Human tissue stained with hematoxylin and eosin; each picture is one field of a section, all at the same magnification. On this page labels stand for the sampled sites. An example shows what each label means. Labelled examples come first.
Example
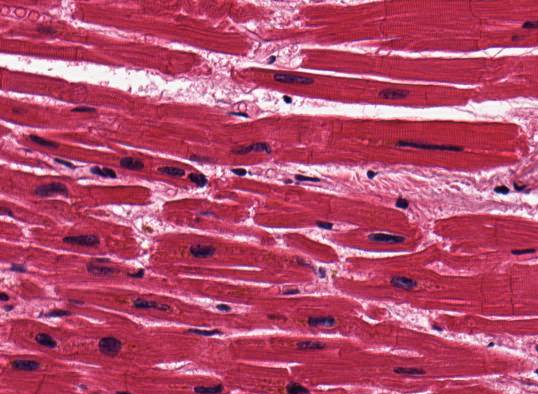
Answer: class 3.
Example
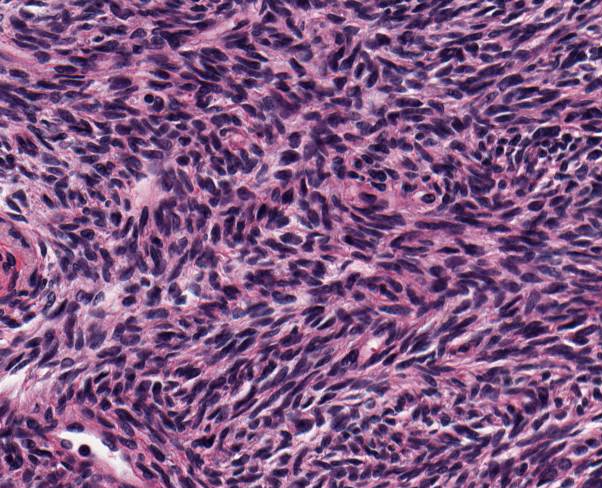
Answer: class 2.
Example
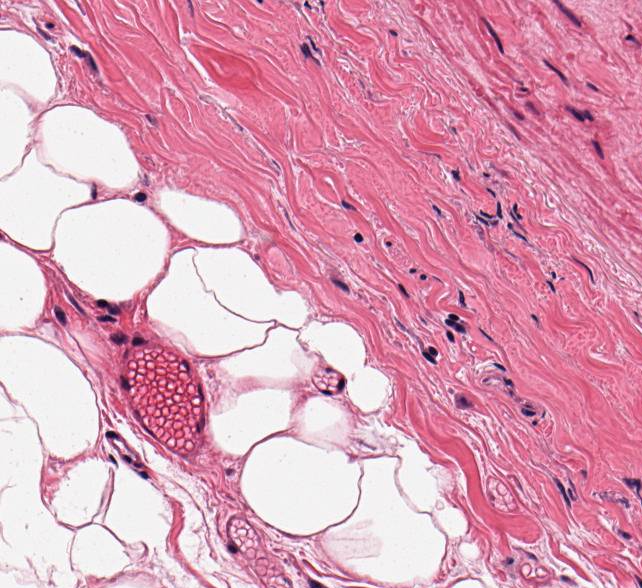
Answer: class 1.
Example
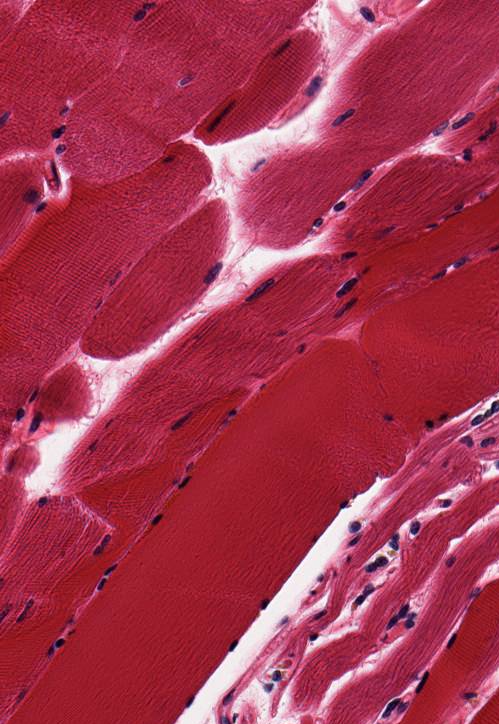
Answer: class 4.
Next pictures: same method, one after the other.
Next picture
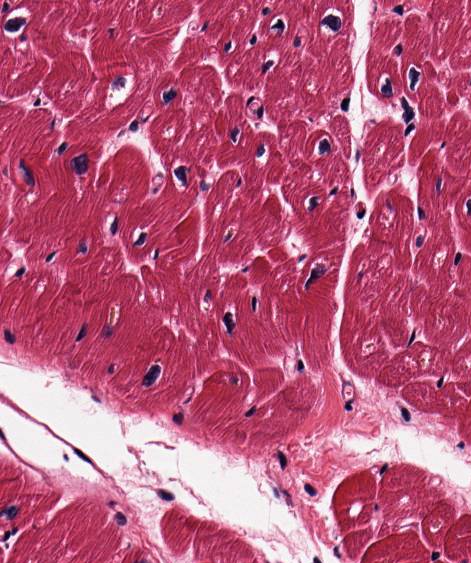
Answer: class 3.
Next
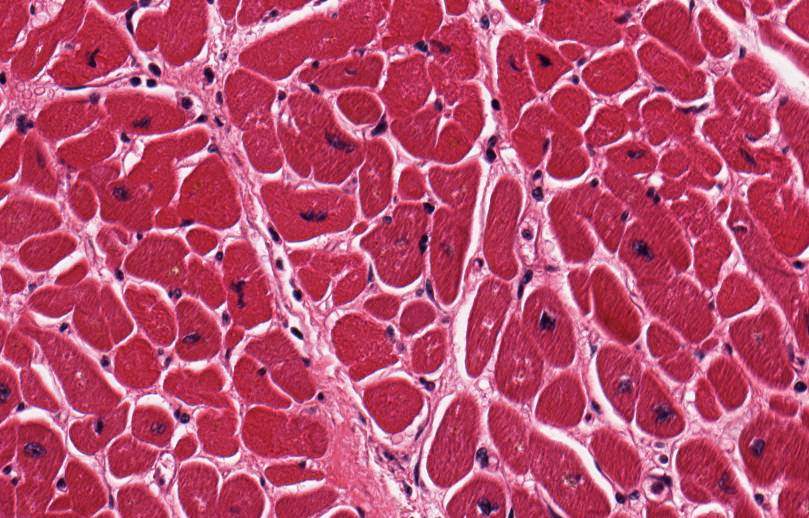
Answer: class 3.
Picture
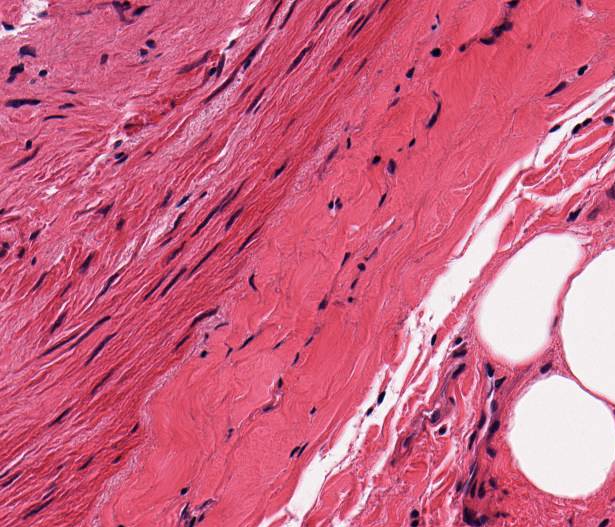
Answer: class 1.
